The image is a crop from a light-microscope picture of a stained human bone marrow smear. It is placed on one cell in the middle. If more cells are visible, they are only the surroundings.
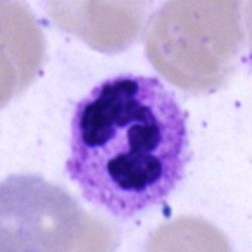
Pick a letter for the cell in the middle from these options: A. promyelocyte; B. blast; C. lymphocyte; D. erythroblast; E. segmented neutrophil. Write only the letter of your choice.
E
